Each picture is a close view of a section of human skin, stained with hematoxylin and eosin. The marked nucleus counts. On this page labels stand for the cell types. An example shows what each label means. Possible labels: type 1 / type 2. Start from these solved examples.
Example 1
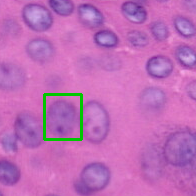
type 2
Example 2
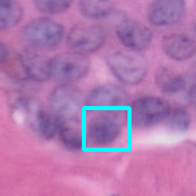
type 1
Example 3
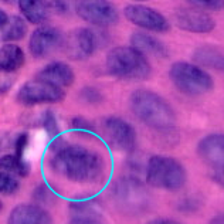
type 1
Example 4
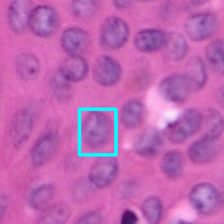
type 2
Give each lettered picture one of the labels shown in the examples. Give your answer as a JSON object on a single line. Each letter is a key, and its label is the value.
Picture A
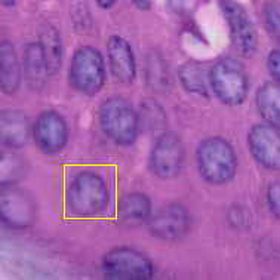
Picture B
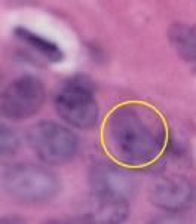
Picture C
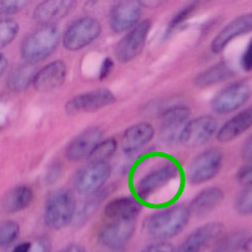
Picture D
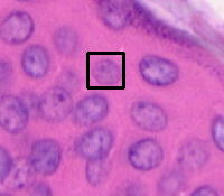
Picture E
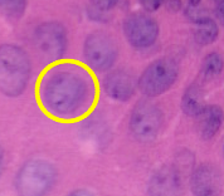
{"A": "type 2", "B": "type 1", "C": "type 1", "D": "type 2", "E": "type 2"}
